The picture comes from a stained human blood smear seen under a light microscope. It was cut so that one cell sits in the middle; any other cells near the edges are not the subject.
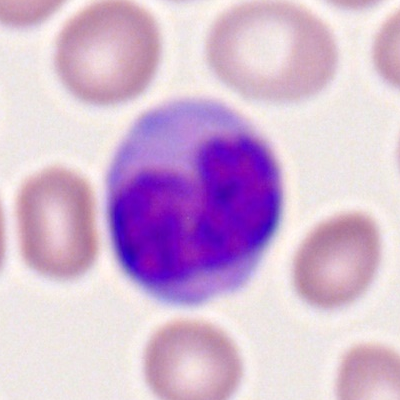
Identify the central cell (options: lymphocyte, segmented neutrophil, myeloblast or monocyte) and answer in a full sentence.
In the crop, the cell of interest at the centre is a monocyte.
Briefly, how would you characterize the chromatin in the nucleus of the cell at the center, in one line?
What stands out is chromatin that is coarsely clumped.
